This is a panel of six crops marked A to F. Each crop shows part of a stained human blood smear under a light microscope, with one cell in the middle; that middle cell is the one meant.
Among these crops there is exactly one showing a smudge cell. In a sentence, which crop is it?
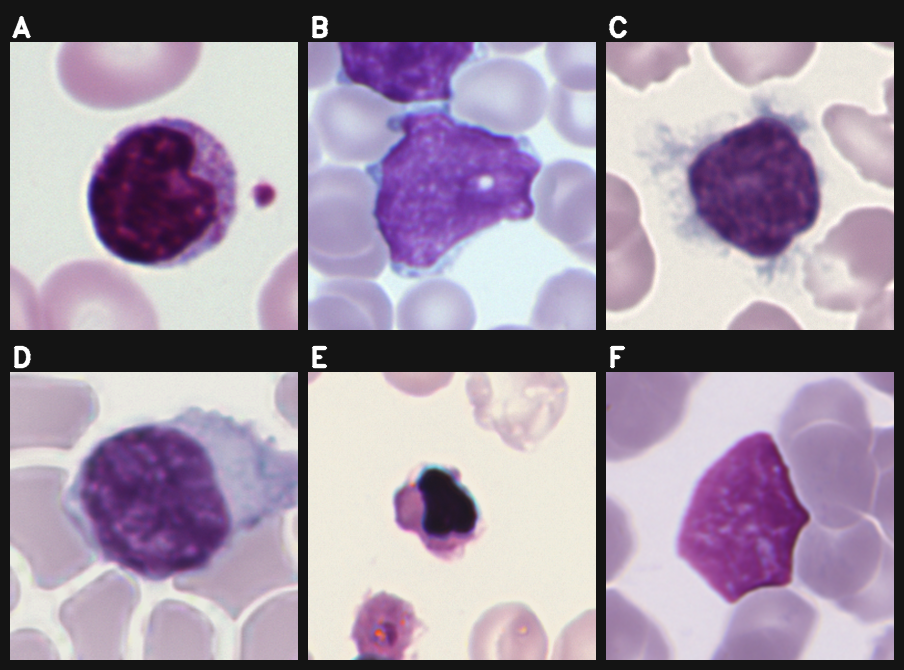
Selected crop: F, which is the one that shows a smudge cell.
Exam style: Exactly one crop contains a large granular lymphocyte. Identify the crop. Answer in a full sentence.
Crop A is identified as the crop showing a large granular lymphocyte.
